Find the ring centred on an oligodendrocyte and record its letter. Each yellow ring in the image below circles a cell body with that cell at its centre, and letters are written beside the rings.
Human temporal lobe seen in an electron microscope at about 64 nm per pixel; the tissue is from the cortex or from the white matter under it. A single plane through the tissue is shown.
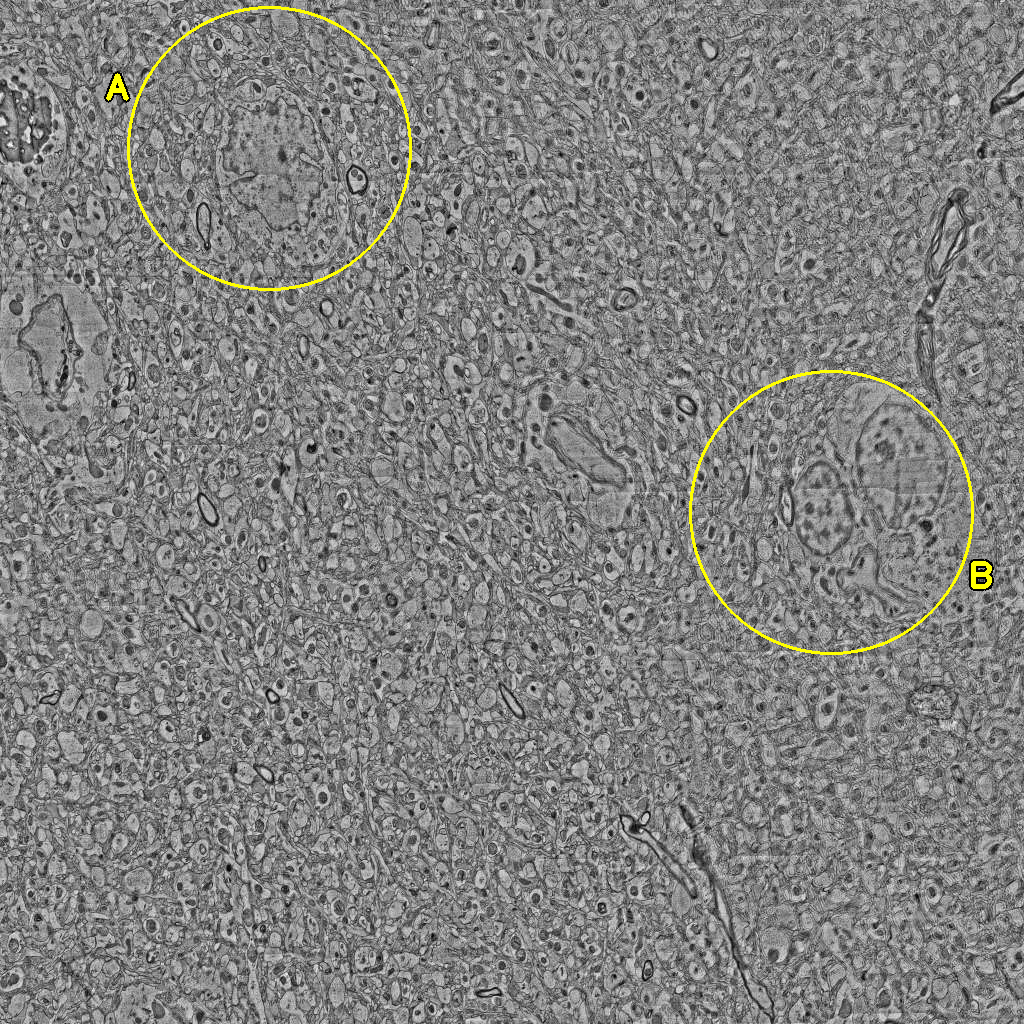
B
